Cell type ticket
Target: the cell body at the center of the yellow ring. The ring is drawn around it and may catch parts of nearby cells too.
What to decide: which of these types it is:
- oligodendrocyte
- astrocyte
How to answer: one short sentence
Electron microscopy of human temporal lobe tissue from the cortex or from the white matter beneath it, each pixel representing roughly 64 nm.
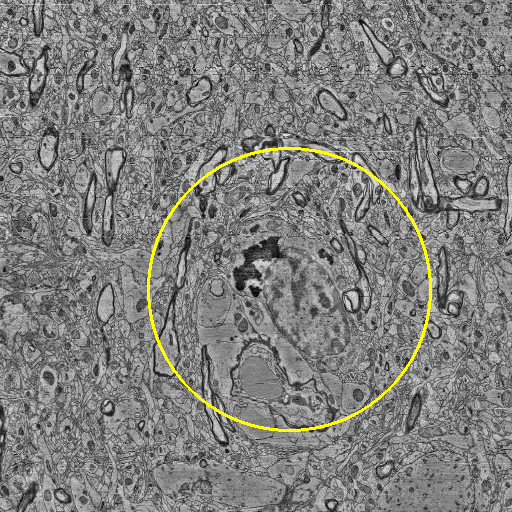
The cell at the center of the ring is an oligodendrocyte.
